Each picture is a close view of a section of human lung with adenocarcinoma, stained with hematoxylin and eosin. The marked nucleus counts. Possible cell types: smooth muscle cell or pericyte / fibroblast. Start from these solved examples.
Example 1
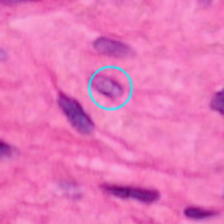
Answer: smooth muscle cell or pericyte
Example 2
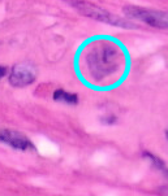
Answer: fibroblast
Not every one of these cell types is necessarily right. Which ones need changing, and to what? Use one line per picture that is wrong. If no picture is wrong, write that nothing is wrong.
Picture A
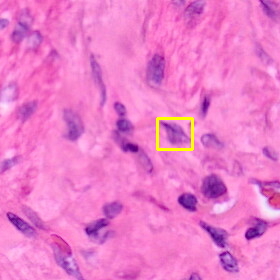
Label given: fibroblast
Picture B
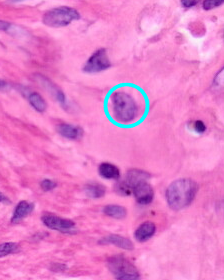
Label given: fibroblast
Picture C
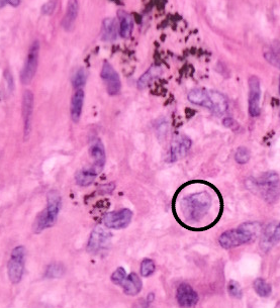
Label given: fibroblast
All correct.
